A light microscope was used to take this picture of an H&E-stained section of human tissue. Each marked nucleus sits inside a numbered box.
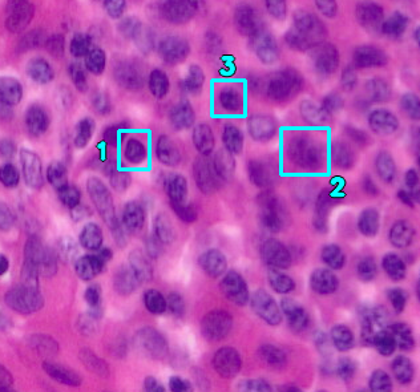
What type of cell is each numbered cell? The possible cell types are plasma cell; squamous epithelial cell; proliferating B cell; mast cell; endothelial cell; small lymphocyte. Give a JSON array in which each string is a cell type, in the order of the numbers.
["plasma cell", "squamous epithelial cell", "plasma cell"]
